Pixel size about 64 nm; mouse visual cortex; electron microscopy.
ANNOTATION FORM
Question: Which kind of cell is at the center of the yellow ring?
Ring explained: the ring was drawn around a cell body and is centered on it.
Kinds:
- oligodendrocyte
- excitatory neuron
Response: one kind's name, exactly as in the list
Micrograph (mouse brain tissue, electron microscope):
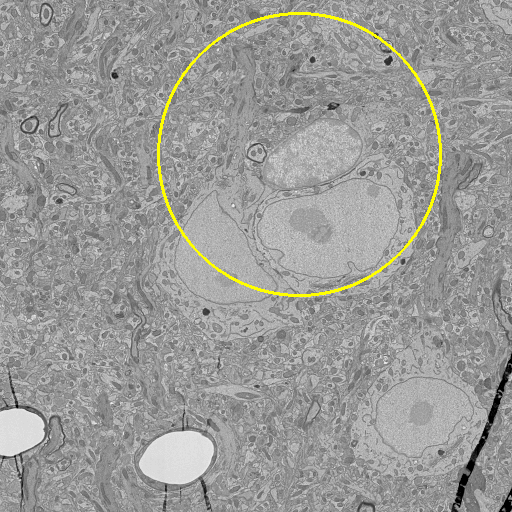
oligodendrocyte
